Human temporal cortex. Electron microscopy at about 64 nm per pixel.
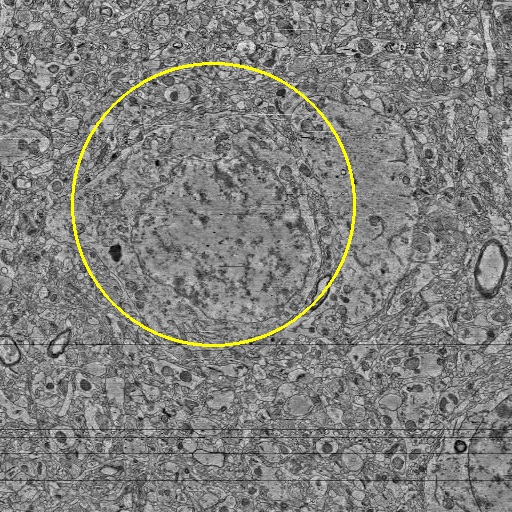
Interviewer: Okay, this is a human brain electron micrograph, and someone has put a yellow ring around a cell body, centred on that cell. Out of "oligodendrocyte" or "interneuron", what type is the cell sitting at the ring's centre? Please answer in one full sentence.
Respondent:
The cell at the centre of the yellow ring in this picture is an interneuron.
